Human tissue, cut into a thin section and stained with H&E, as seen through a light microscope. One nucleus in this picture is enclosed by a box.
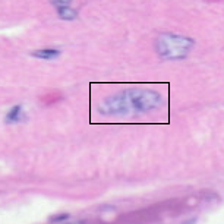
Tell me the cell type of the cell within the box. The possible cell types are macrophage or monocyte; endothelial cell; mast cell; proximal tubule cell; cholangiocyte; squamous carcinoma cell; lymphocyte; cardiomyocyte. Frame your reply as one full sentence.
In this tissue section, the cell within the box is to be classed as a cardiomyocyte.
